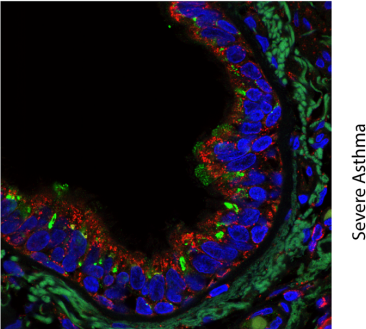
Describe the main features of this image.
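A curved lining of tall, tightly packed cells borders a dark empty lumen, with elongated blue nuclei stacked at several heights so the layer looks pseudostratified. Fine red dots are scattered through the cytoplasm of the lining cells, densest towards the surface facing the lumen. Bright green spots and small clumps sit within the lining layer, some near the free surface. Beneath the lining runs a band of wavy green fibres with sparse blue nuclei, the connective tissue under the epithelium. This is the epithelium of an airway with its underlying wall.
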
